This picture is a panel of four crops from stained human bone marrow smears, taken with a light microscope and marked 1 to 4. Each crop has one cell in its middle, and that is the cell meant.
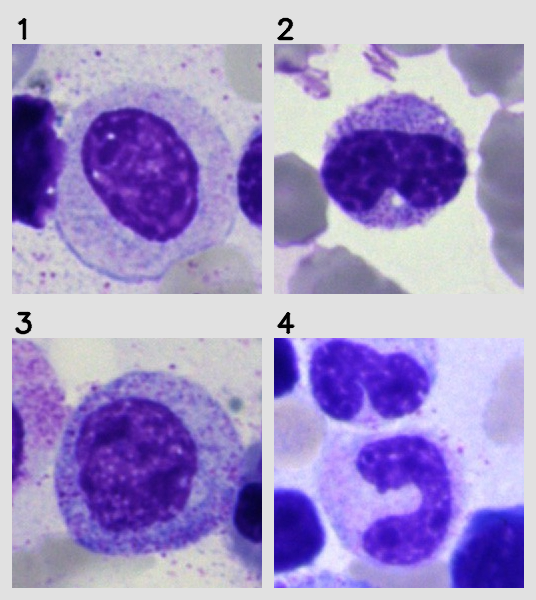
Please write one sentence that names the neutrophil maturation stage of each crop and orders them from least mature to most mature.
The maturation order, from least to most mature, is crop 3 (a promyelocyte), crop 1 (a myelocyte), crop 2 (a metamyelocyte) and crop 4 (a band neutrophil).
